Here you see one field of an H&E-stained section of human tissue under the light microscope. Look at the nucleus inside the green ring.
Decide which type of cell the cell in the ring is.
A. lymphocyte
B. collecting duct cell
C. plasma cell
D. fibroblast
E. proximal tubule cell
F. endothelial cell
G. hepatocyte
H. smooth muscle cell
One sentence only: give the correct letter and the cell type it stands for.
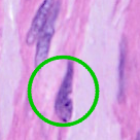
Option H is the correct one: the cell in the ring is a smooth muscle cell.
